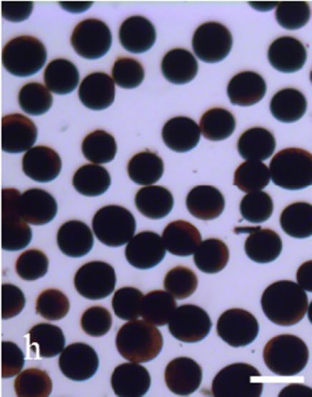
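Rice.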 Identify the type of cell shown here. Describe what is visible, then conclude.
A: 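Many separate round grains of similar size lie scattered on the slide. Most grains are filled with a dark blue-black stain. So: Pollen grains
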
